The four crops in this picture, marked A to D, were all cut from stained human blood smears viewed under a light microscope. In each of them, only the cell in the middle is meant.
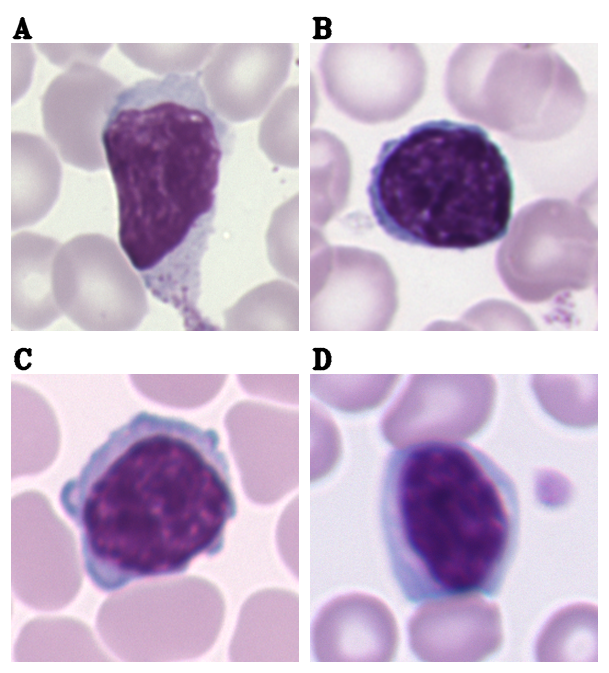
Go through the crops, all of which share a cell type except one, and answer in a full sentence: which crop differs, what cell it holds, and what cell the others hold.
Crop A presents a large granular lymphocyte, while typical lymphocytes are presented by all other crops.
